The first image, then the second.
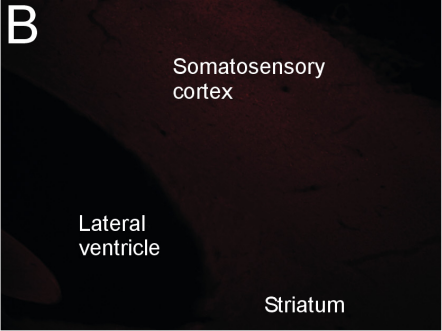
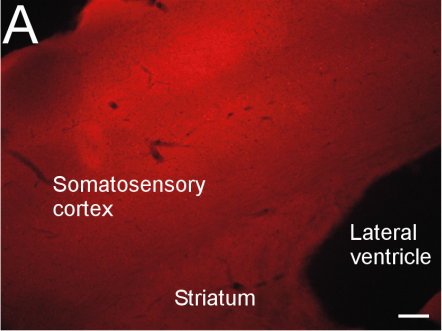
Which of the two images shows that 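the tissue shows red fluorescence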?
the second image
